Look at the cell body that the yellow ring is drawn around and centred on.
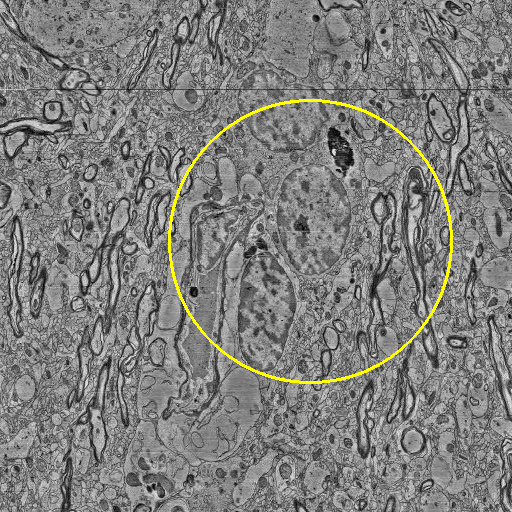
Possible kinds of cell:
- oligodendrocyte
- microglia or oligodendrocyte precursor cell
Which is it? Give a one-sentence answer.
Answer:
The centred cell body is that of an oligodendrocyte.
